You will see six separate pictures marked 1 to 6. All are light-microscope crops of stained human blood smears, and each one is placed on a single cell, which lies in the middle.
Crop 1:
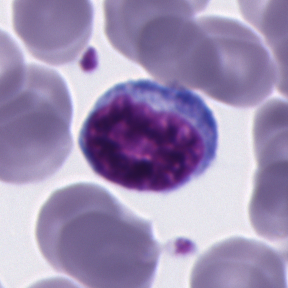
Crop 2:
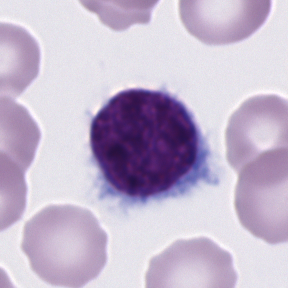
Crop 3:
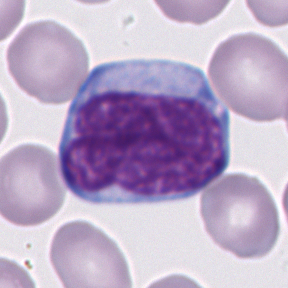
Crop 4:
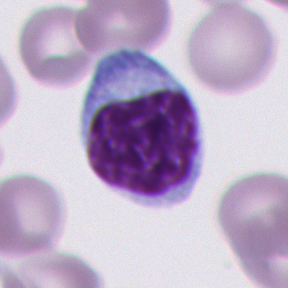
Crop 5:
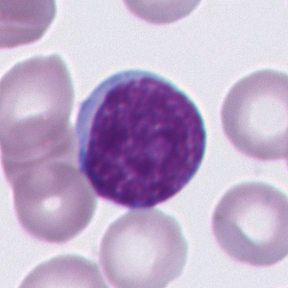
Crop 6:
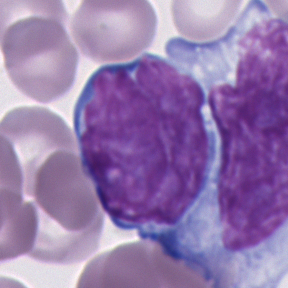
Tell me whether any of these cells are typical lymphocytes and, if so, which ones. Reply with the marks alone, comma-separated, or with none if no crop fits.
1, 4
